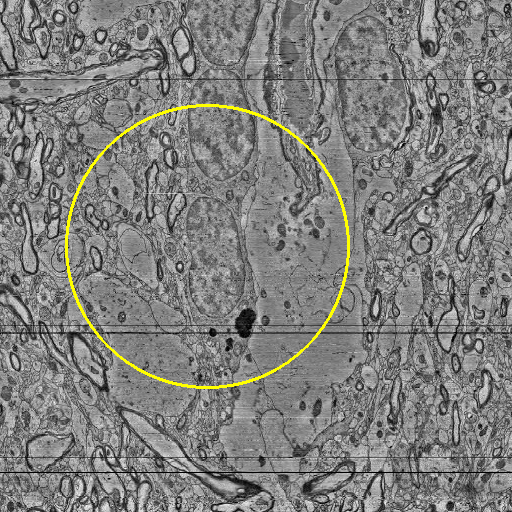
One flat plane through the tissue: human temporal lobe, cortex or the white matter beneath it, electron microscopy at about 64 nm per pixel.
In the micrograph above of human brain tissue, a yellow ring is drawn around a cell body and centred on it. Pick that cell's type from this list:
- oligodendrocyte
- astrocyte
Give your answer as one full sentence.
Going by the list, an oligodendrocyte is the cell on which the yellow ring is centred.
